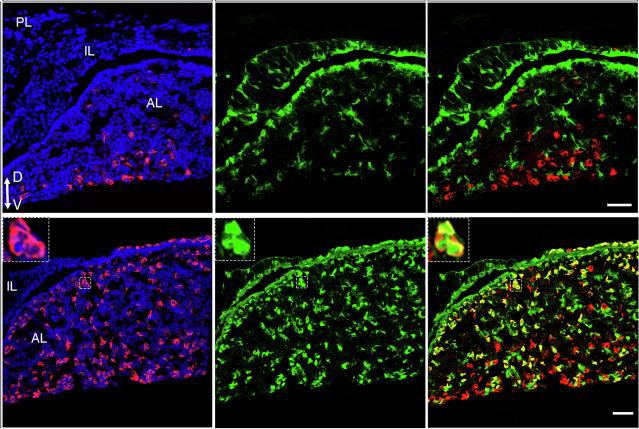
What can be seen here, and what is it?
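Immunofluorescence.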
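In the upper row the red cells are few and lie mainly along the lower edge of the anterior lobe, while green cells are slender and branched, scattered through the lobe and lining the cleft beneath the intermediate lobe, and they rarely coincide with red cells. In the lower row red cells are numerous throughout the anterior lobe, and many of them are also green, appearing yellow in the merged image. An enlarged inset shows a small cluster of rounded cells whose red cytoplasm surrounds blue nuclei and overlaps the green.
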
